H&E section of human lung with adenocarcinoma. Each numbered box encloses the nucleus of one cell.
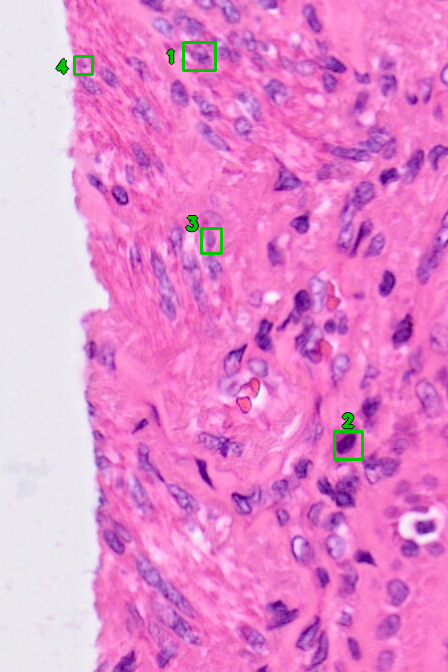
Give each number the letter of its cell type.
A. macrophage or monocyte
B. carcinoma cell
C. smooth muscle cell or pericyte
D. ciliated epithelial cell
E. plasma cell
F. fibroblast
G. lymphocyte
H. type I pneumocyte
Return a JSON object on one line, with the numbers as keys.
{"1": "C", "2": "E", "3": "C", "4": "C"}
